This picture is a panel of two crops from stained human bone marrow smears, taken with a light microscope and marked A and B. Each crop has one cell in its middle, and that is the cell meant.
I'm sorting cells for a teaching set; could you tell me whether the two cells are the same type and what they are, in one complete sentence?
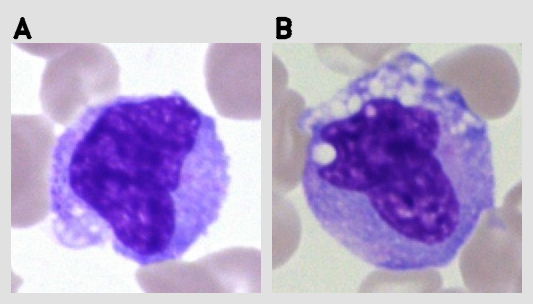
Yes, both crops feature monocytes at the centre.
